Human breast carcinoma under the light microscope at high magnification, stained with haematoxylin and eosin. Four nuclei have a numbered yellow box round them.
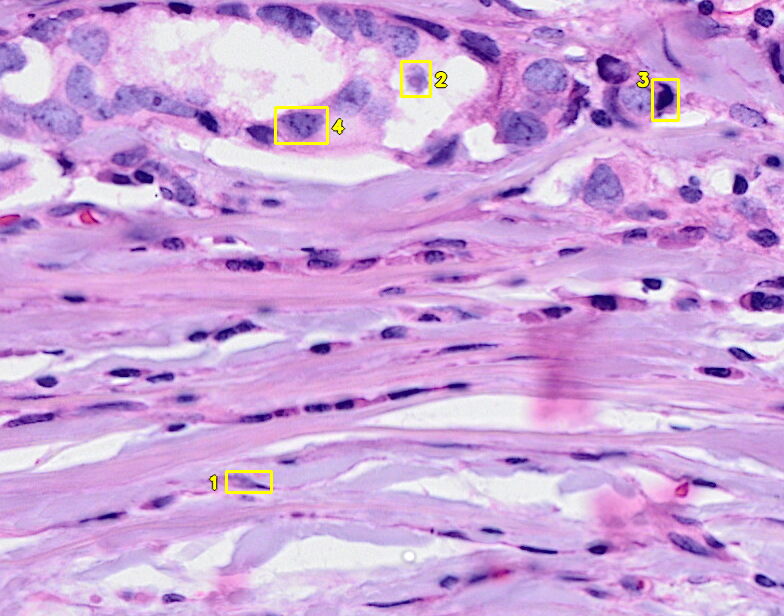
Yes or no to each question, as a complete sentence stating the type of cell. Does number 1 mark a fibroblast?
Yes, the cell tagged with the number 1 is a fibroblast.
